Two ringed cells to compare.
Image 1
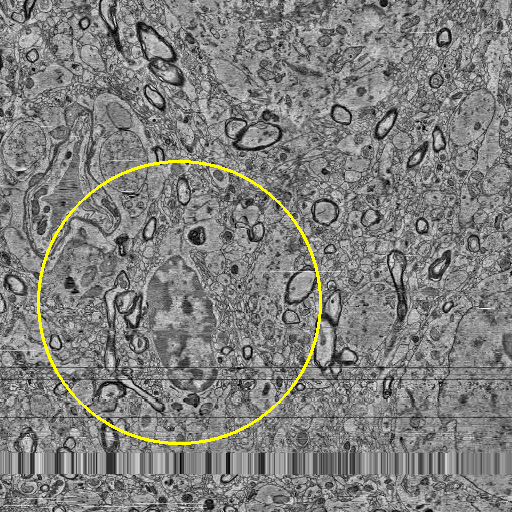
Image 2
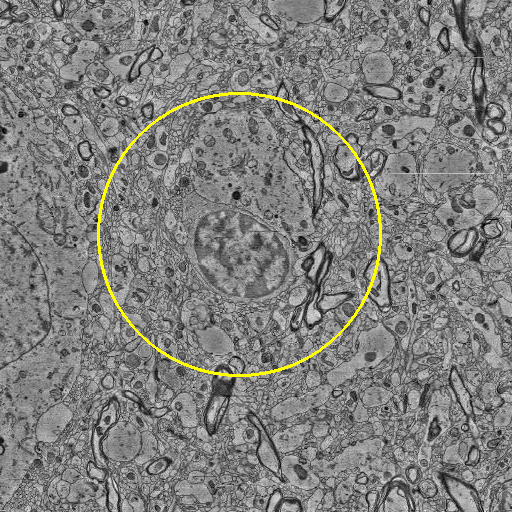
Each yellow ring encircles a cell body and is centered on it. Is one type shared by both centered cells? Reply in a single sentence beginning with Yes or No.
No, two types are found among the cells at the centers of the rings.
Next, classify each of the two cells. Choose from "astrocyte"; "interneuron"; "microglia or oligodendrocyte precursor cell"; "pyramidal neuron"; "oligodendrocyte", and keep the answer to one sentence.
In the first picture it is a microglial cell or oligodendrocyte precursor cell; in the second it is an oligodendrocyte.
